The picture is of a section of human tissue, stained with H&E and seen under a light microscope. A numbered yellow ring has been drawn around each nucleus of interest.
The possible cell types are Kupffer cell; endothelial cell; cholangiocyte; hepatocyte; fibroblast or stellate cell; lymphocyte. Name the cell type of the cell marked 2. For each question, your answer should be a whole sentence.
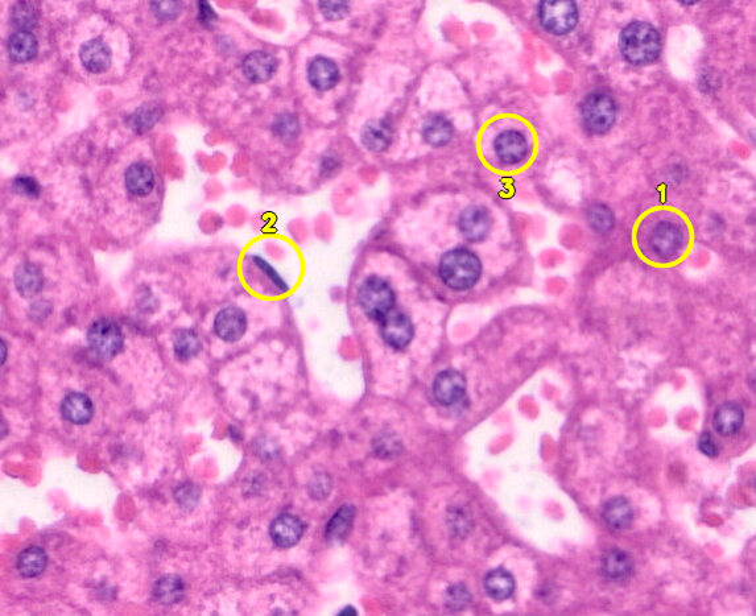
The cell that is numbered 2 is an endothelial cell.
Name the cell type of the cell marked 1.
The cell pointed out by number 1 is a hepatocyte.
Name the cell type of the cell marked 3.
The cell indicated by marker 3 is a hepatocyte in this section.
